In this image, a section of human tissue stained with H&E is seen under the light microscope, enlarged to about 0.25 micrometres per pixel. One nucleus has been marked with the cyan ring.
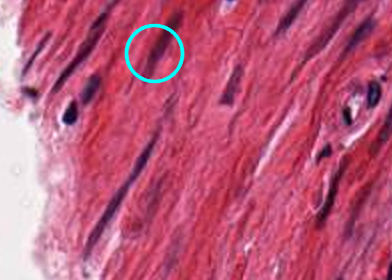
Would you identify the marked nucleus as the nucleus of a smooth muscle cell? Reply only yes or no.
yes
